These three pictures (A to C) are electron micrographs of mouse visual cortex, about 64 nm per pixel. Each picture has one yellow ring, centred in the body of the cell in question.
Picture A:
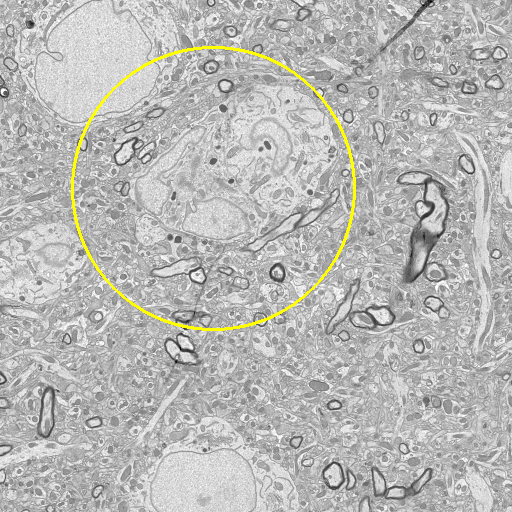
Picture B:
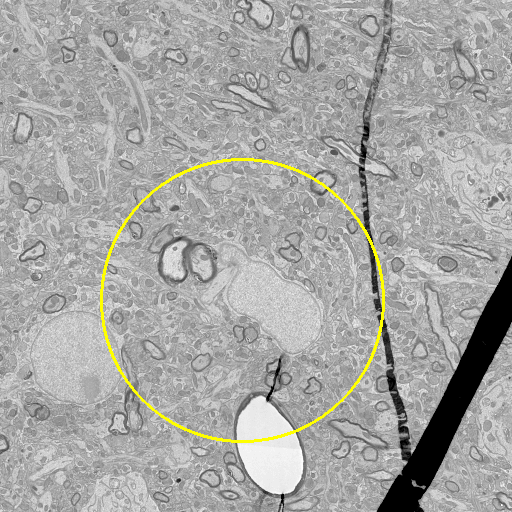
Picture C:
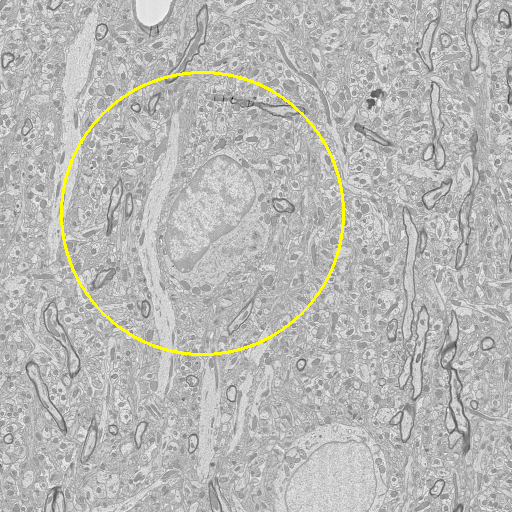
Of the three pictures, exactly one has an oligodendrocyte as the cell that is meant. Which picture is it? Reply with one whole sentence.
Picture C is the one that shows the oligodendrocyte.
